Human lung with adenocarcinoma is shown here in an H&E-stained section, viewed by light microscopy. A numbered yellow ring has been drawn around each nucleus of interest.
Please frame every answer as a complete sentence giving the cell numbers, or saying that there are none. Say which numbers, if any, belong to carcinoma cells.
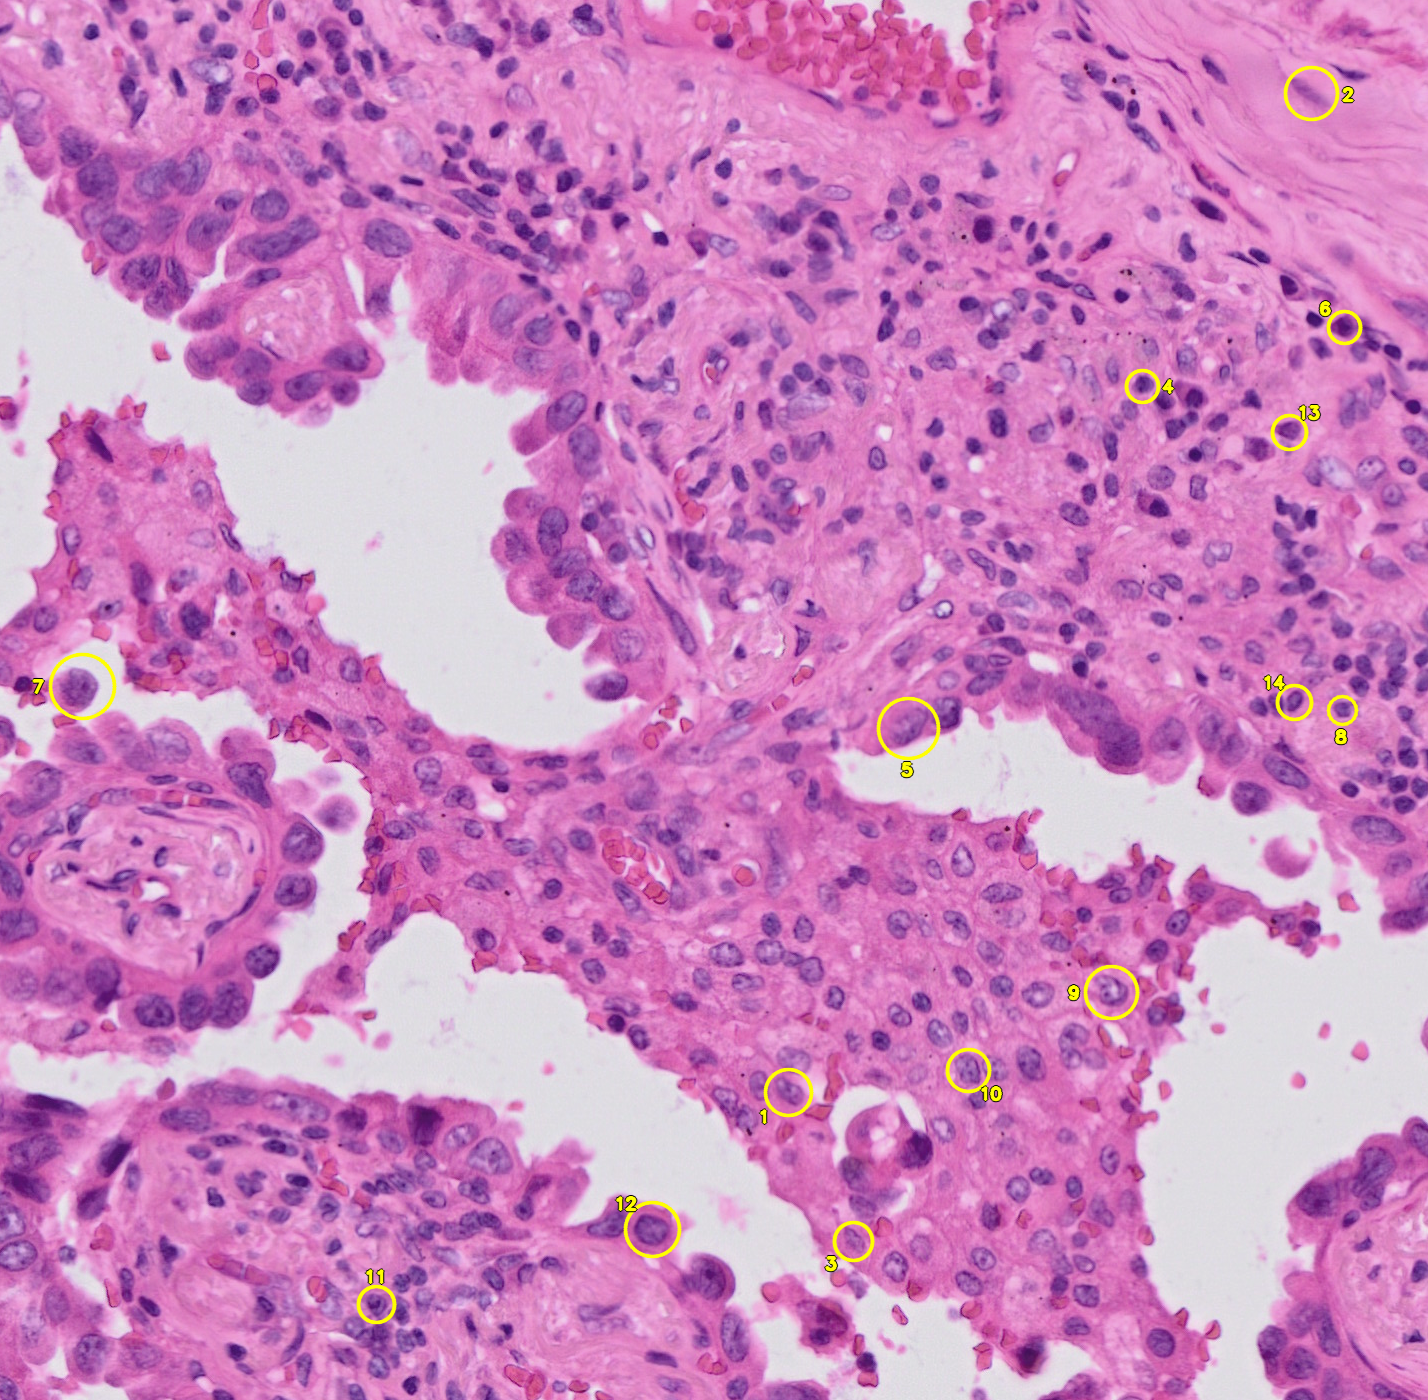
The cells numbered 5, 7 and 12 are typed as carcinoma cells.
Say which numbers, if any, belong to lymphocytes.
The cells numbered 4, 8 and 14 are, by type, lymphocytes.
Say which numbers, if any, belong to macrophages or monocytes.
The numbers 1, 3, 9 and 10 mark cells that are macrophages or monocytes.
